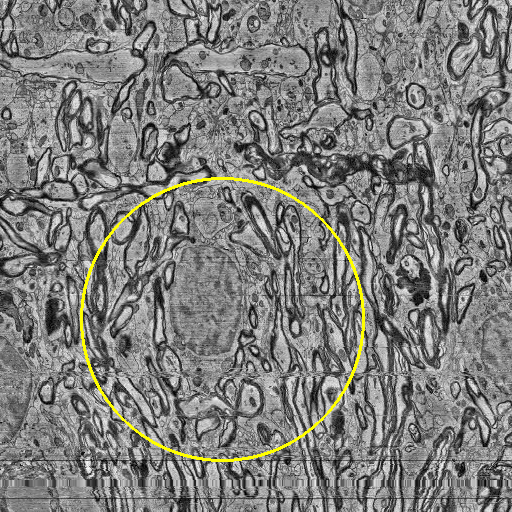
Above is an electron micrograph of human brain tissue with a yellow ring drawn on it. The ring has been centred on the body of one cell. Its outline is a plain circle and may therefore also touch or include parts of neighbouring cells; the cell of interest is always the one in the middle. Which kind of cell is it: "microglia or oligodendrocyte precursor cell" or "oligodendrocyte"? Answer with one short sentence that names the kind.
The ring's central cell body is that of an oligodendrocyte.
